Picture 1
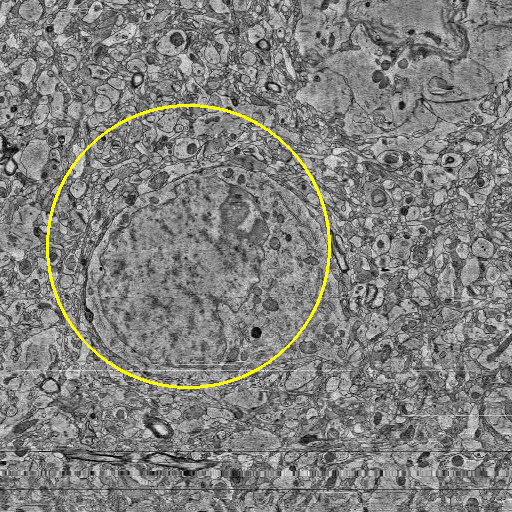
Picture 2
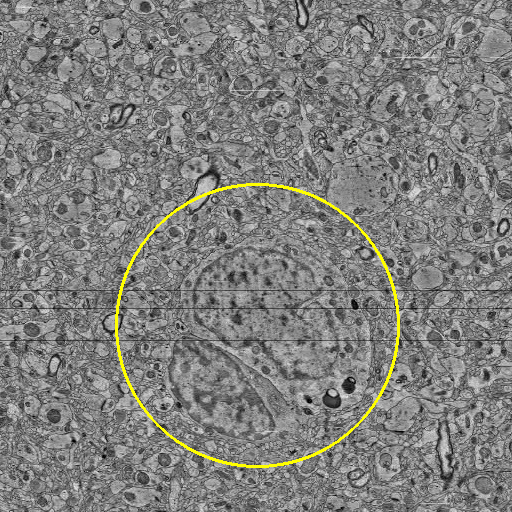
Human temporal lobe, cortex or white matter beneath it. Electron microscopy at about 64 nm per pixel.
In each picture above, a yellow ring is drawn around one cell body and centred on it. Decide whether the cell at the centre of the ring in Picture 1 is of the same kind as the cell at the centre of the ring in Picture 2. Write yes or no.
yes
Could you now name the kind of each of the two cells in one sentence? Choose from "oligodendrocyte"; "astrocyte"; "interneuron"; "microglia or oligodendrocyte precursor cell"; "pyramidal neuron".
Each of the two pictures has an interneuron at the ring centre.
